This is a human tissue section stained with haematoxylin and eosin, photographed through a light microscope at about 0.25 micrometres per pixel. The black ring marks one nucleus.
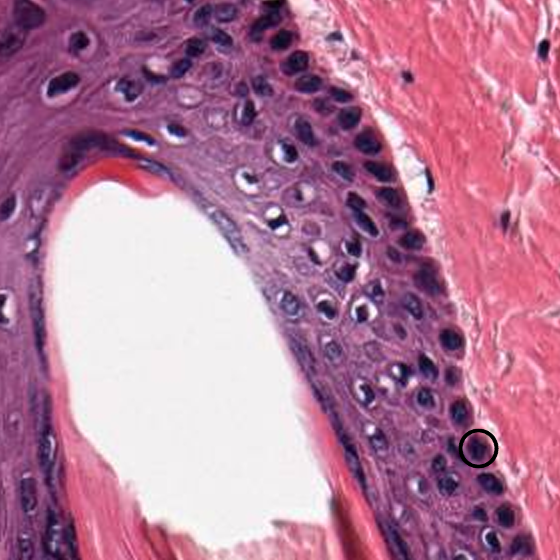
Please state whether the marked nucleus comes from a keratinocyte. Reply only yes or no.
yes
